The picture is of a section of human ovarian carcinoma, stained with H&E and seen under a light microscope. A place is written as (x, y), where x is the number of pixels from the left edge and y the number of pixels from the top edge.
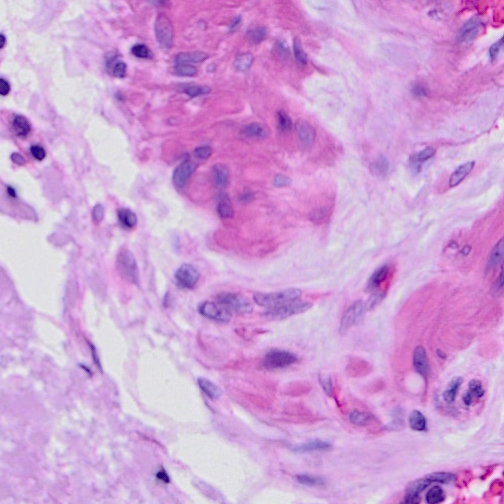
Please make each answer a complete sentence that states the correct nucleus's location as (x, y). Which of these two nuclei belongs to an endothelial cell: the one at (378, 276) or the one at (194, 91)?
Between the pair, the nucleus at (378, 276) belongs to an endothelial cell.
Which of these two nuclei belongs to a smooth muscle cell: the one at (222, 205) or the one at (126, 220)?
The nucleus at (222, 205) is housed in a smooth muscle cell.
